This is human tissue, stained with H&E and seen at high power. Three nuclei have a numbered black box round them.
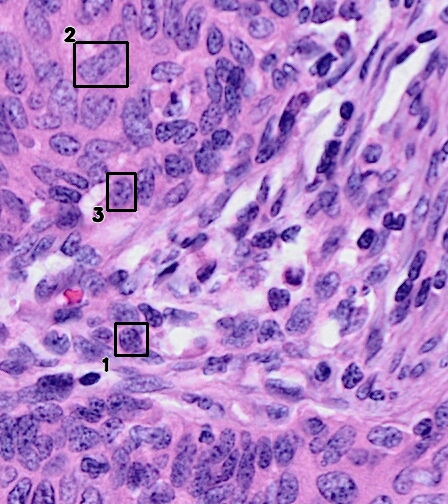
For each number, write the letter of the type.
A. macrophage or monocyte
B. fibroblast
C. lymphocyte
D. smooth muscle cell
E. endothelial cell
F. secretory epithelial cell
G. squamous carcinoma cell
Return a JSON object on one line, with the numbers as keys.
{"1": "C", "2": "G", "3": "G"}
